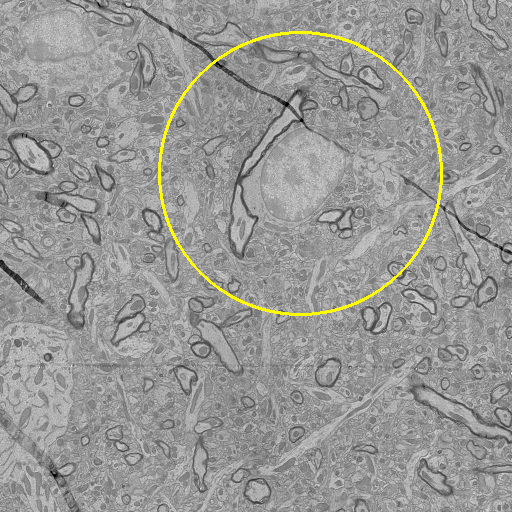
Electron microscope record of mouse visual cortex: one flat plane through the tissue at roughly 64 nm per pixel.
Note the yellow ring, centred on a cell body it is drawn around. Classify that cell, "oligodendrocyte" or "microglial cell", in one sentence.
The cell the ring is centred on is an oligodendrocyte.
